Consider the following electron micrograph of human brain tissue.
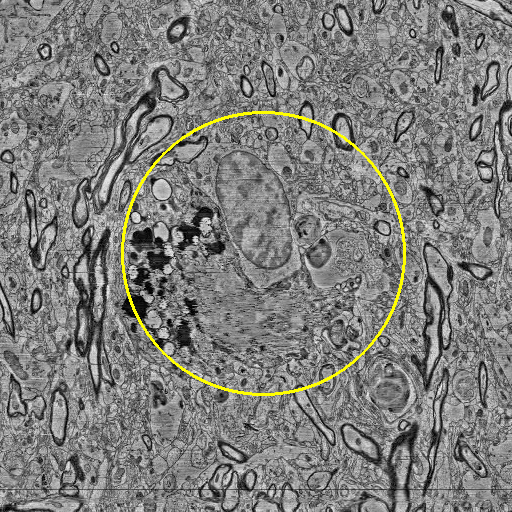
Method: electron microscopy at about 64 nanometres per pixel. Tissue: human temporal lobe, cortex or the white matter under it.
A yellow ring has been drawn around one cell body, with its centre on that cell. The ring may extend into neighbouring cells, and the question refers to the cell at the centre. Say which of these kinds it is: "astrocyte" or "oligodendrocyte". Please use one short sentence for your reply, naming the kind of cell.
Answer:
The centre of the ring falls on an oligodendrocyte.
